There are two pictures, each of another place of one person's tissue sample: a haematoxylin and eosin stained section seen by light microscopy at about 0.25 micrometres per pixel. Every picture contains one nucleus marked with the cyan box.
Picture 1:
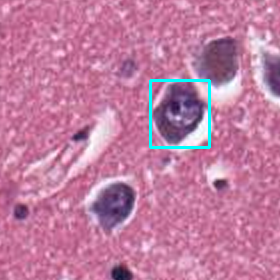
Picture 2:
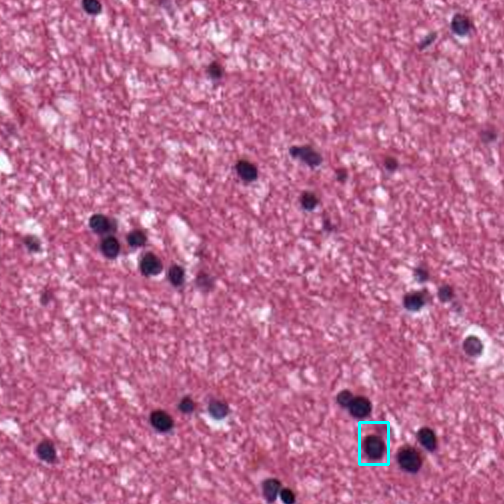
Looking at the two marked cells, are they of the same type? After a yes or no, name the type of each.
No, the first is a neuron and the second an oligodendrocyte.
